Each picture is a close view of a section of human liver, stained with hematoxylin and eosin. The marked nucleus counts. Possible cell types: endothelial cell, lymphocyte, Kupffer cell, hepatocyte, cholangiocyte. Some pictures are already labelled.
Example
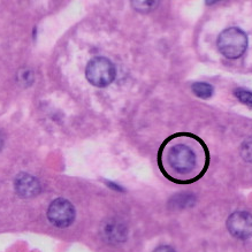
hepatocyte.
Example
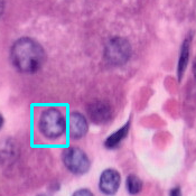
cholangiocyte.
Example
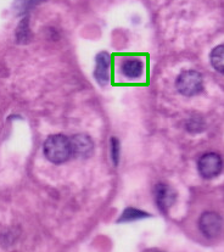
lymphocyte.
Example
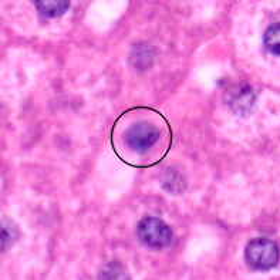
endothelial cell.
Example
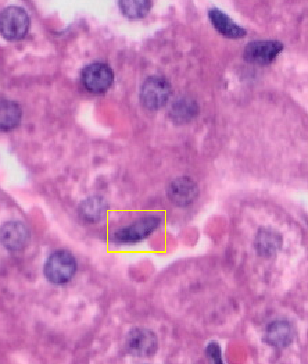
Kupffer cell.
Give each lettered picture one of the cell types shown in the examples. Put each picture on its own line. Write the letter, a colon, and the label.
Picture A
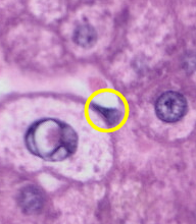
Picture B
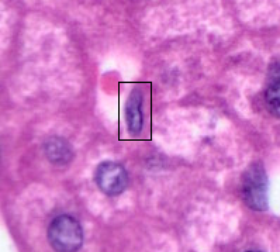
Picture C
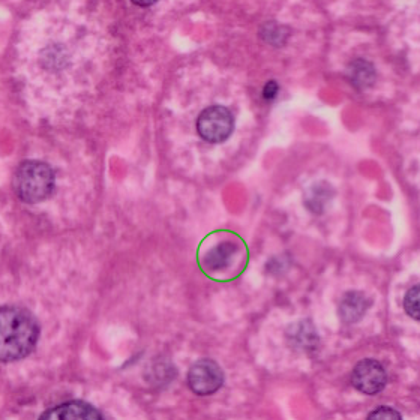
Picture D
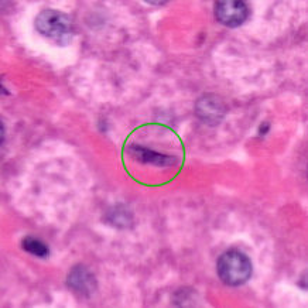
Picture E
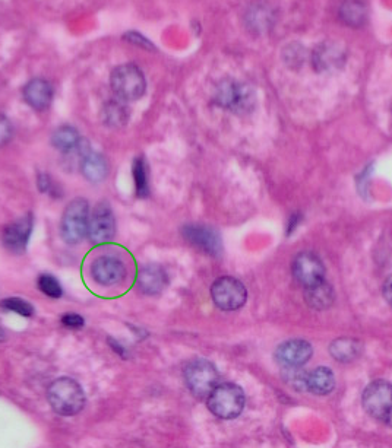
A: endothelial cell.
B: Kupffer cell.
C: Kupffer cell.
D: Kupffer cell.
E: cholangiocyte.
